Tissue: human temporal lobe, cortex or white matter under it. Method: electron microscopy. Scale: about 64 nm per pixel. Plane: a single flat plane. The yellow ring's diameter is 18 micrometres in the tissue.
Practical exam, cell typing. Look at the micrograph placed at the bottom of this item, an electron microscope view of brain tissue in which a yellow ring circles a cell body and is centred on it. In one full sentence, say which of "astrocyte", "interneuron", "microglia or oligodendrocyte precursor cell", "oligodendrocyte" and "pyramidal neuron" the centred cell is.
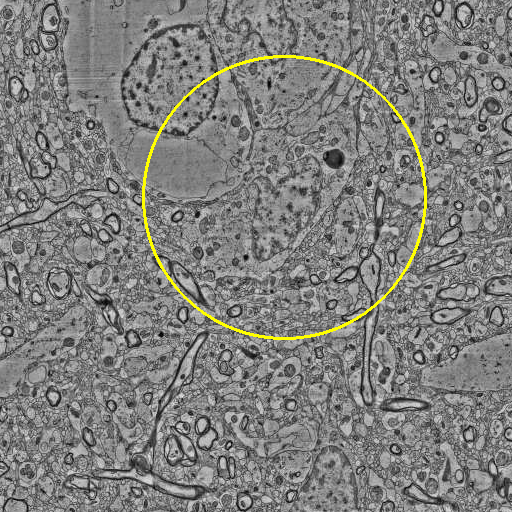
Given the options, an interneuron fits the cell whose body the yellow ring is centred on.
